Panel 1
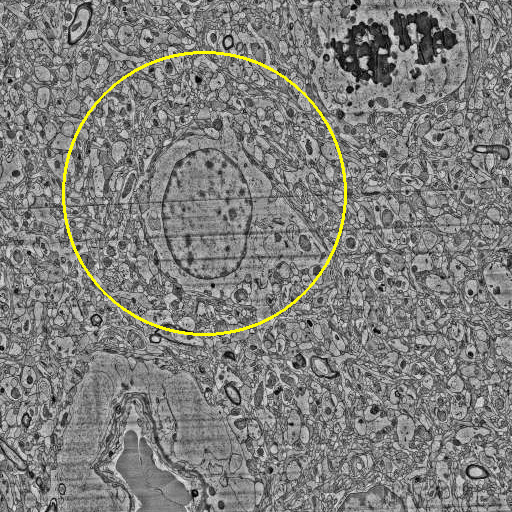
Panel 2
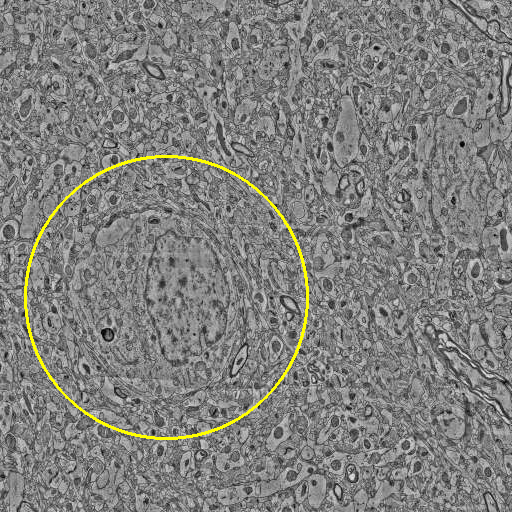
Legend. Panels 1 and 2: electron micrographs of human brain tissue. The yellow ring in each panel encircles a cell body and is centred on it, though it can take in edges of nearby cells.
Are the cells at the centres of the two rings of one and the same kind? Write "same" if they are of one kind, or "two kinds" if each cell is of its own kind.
two kinds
